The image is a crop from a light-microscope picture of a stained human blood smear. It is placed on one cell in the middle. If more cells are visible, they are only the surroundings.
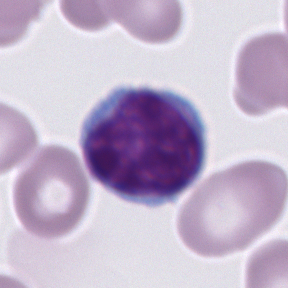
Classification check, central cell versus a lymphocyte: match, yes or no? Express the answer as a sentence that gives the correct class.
Yes, the cell shown at the crop's centre is a lymphocyte.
